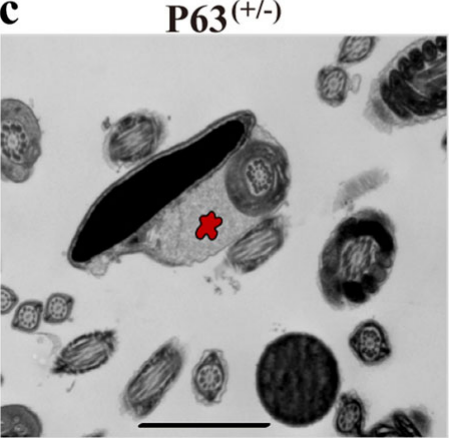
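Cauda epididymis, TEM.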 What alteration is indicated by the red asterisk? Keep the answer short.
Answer: Abnormal cytoplasm.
